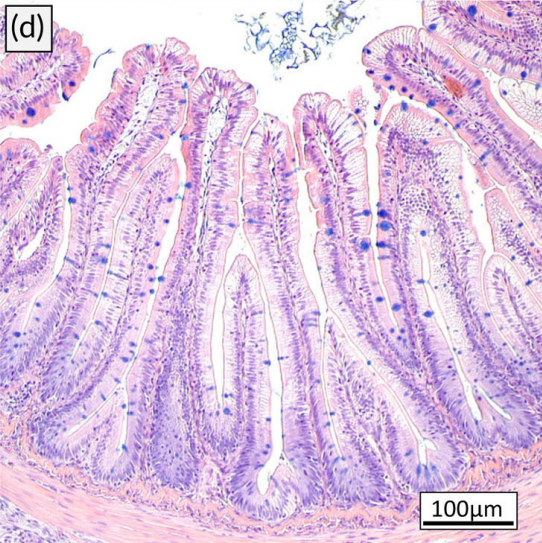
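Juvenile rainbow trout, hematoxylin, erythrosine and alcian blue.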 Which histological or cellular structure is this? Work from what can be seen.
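Long finger-like folds of mucosa project toward the lumen. Each fold is covered by columnar epithelium around a core of connective tissue.
Answer: villi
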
